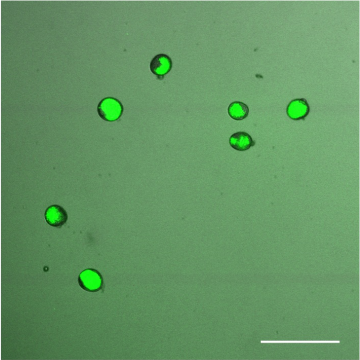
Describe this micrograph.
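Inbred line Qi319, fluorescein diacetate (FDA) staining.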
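These are loose pollen grains lying scattered singly on a grey-green background. Each grain is round to slightly oval, of fairly uniform size, with a smooth outline. Most of them are filled with bright green fluorescence, some evenly and some with a darker patch or rim on one side. The grains do not touch or form any tissue, they lie as separate cells across the field.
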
